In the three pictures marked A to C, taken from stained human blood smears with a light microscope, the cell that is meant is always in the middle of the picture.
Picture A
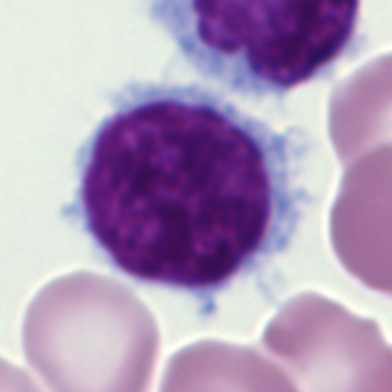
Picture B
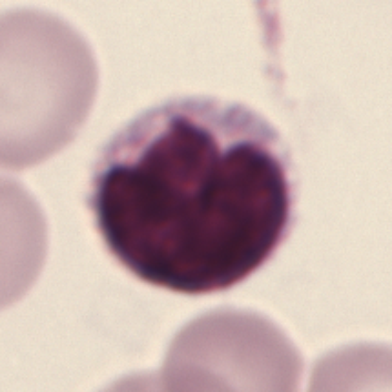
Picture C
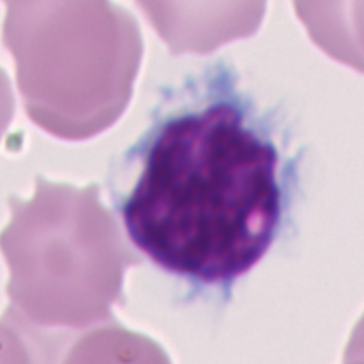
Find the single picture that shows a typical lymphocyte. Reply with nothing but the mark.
B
